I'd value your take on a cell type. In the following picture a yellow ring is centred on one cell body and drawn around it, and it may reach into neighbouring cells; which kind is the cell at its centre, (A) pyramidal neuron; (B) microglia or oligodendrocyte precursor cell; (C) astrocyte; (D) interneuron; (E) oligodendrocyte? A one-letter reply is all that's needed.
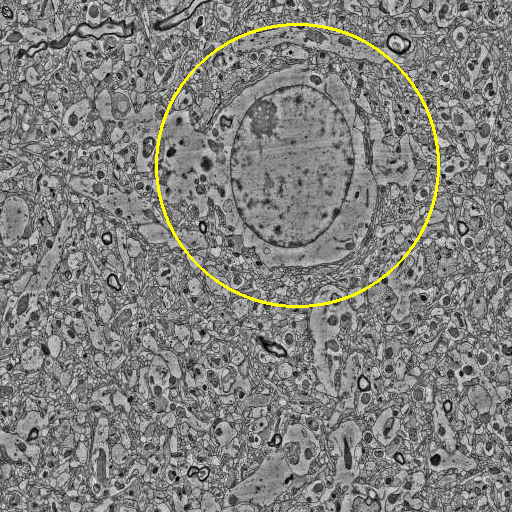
C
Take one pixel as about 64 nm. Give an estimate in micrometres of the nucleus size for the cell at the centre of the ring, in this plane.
The nucleus comes to roughly 10 by 8 micrometres in this plane.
